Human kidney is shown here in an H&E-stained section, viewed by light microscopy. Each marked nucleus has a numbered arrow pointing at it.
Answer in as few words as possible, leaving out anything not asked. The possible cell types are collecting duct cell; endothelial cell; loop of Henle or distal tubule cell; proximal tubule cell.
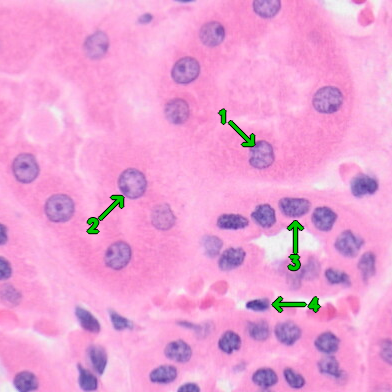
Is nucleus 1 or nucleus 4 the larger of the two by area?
1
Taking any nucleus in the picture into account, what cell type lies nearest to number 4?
collecting duct cell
